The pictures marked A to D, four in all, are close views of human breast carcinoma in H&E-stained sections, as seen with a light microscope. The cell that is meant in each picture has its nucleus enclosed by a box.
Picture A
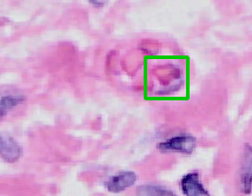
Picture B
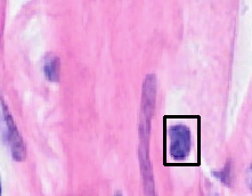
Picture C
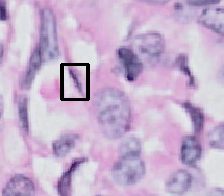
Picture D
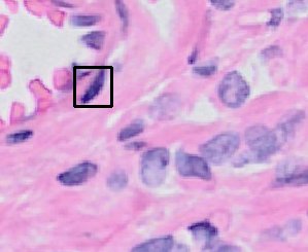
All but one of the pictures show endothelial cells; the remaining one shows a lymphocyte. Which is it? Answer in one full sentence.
The cell in picture B is the lymphocyte.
